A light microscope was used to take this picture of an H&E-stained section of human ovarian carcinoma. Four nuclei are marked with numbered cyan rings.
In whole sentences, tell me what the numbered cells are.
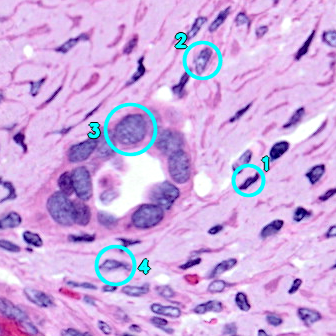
Cells 1, 2 and 4 are fibroblasts. Cell 3 is a carcinoma cell.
